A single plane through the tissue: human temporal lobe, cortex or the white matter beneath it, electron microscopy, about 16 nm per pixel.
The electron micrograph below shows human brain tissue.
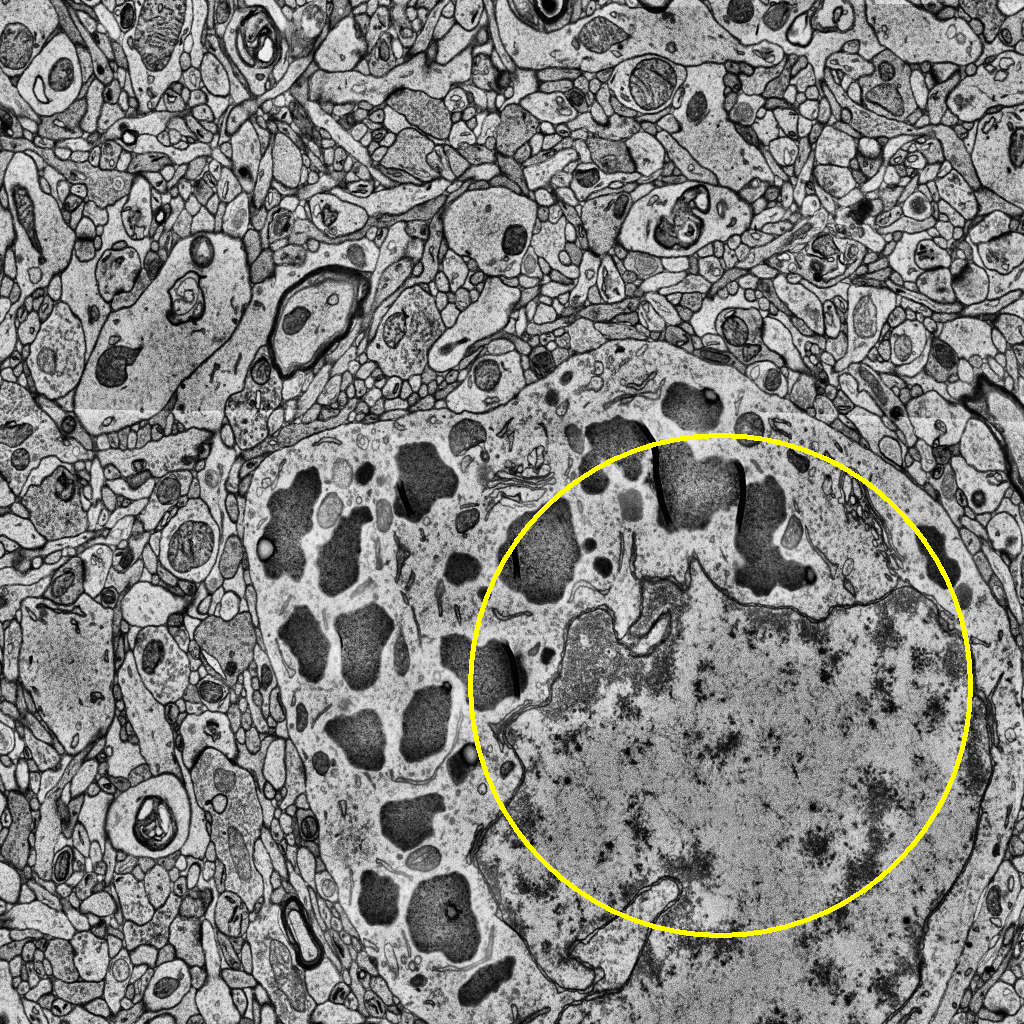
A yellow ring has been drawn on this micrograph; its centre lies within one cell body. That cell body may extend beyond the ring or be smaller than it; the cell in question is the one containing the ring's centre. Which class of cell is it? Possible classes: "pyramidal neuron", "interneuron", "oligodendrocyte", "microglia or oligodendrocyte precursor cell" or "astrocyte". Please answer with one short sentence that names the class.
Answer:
In the centre of the ring sits an interneuron.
